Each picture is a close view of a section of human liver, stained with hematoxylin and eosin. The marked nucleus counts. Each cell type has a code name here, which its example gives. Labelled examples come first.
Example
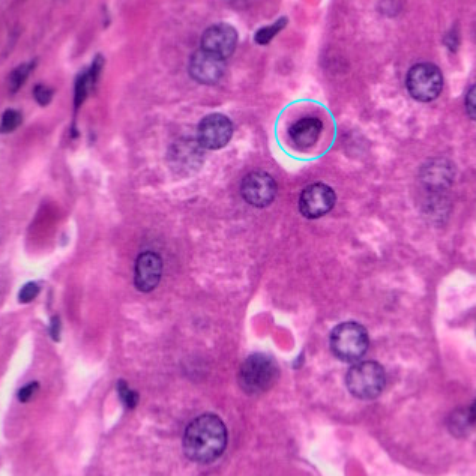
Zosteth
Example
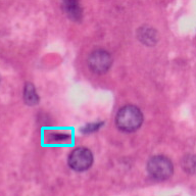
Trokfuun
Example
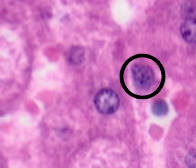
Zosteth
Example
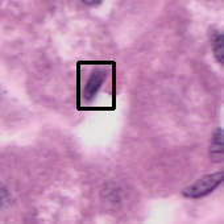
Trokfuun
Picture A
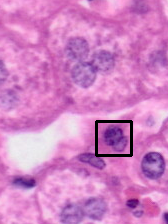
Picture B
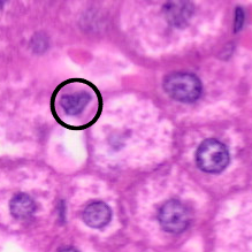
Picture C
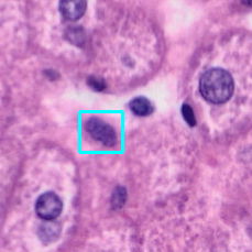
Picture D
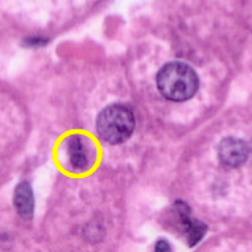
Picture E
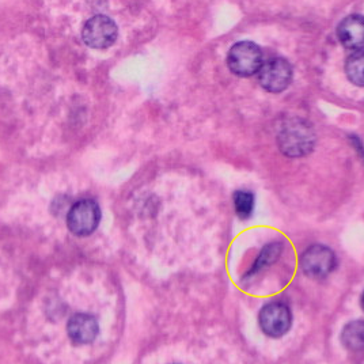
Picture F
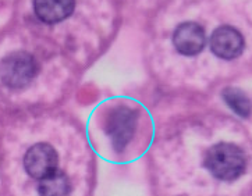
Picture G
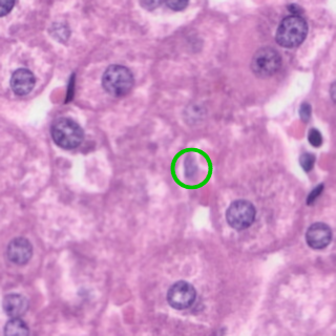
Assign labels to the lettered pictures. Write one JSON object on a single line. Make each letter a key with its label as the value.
{"A": "Zosteth", "B": "Trokfuun", "C": "Zosteth", "D": "Trokfuun", "E": "Zosteth", "F": "Zosteth", "G": "Zosteth"}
